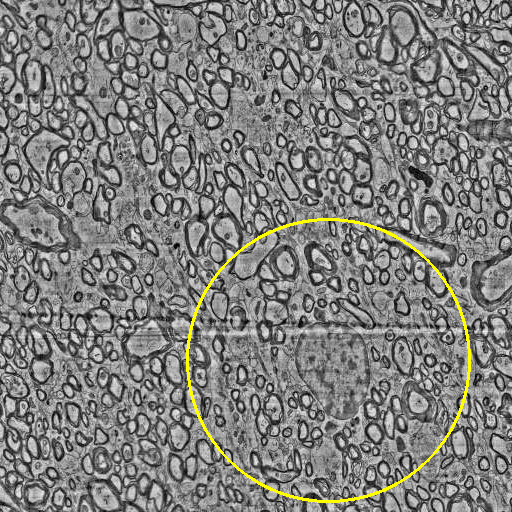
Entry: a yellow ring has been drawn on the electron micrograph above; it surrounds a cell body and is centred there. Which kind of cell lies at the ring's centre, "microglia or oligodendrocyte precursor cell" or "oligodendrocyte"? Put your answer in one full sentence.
The cell sitting at the ring's centre is a microglial cell or oligodendrocyte precursor cell in the micrograph above.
